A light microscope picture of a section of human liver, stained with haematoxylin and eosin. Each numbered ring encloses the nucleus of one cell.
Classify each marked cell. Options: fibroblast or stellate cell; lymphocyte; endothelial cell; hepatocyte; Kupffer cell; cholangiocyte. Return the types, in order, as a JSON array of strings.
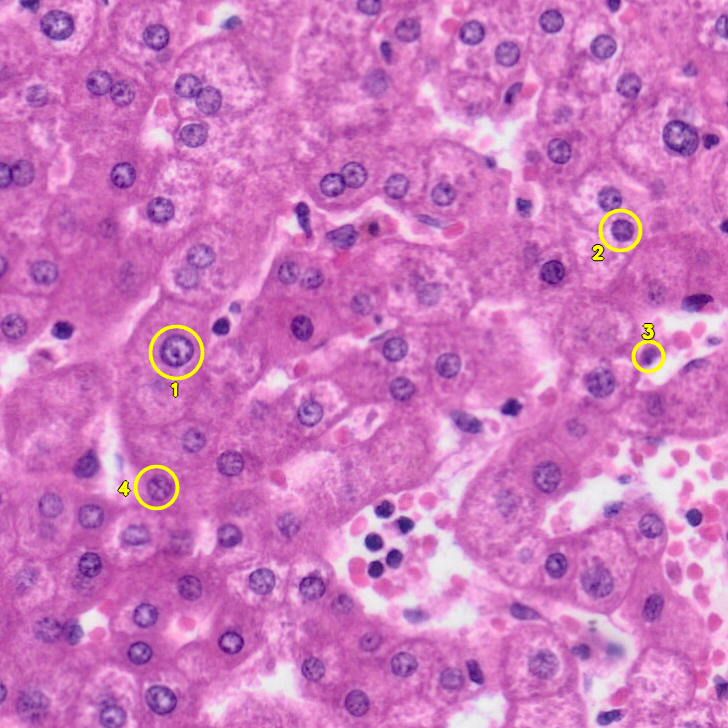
["hepatocyte", "hepatocyte", "Kupffer cell", "hepatocyte"]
